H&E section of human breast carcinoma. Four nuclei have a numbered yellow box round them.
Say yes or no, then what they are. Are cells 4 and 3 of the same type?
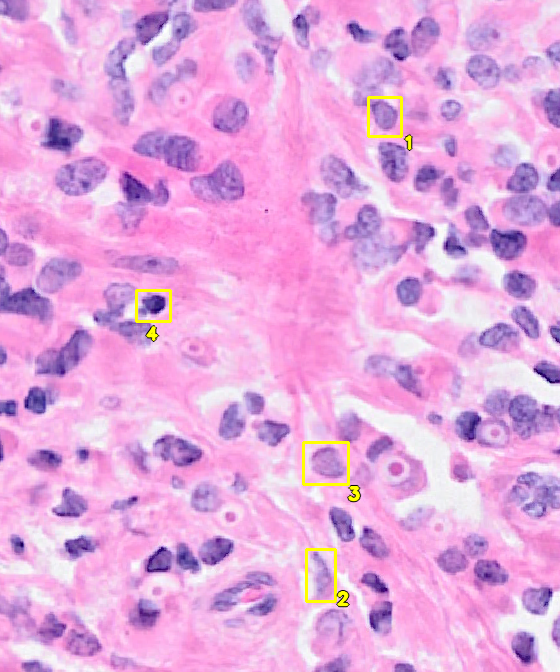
No, cell 4 is a lymphocyte and cell 3 is a carcinoma cell.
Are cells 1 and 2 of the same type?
No, cell 1 is a carcinoma cell and cell 2 is a fibroblast.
